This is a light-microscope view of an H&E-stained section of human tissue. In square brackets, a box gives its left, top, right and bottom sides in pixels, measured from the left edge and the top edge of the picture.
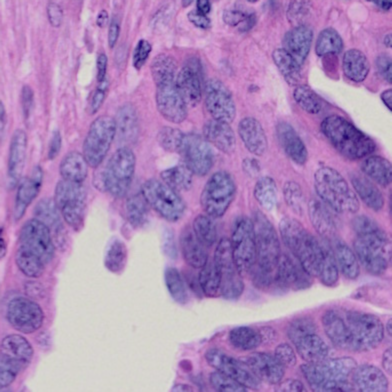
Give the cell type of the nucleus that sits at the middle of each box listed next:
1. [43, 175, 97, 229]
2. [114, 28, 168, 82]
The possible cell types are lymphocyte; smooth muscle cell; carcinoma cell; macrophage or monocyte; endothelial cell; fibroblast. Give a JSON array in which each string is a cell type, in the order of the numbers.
["carcinoma cell", "lymphocyte"]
